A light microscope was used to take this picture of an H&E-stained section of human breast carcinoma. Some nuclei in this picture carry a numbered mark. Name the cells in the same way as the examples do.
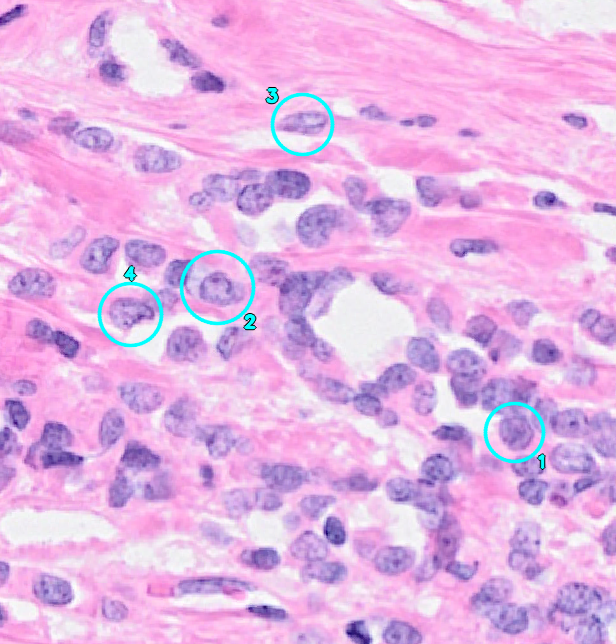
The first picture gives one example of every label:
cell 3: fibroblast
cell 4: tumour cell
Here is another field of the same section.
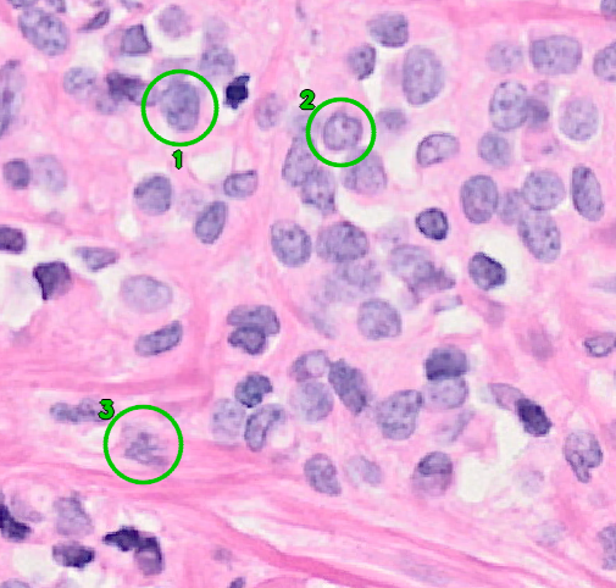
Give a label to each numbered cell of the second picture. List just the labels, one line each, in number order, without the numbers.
tumour cell
tumour cell
fibroblast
